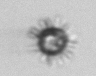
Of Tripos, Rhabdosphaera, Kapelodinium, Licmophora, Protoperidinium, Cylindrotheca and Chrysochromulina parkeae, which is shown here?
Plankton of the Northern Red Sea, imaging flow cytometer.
Rhabdosphaera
